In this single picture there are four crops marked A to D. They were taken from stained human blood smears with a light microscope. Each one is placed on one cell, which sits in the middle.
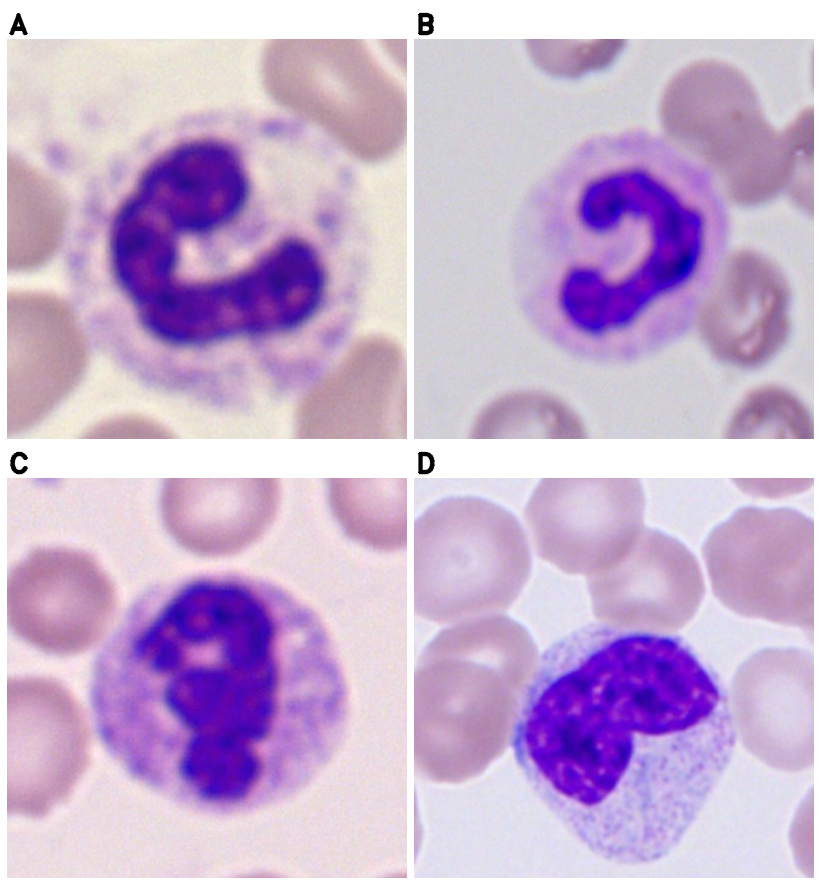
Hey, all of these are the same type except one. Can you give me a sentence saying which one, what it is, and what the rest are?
Crop C is the one to flag: it is a segmented neutrophil, and the rest show band neutrophils.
